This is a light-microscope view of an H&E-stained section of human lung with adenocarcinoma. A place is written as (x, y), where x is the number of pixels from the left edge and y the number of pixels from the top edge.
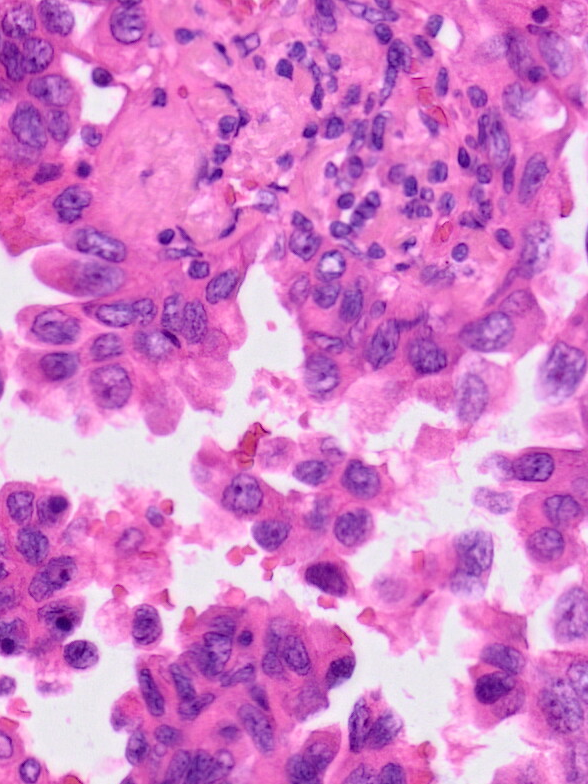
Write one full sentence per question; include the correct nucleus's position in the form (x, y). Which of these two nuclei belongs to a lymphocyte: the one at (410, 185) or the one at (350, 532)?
Of the two nuclei, the nucleus of a lymphocyte is at (410, 185).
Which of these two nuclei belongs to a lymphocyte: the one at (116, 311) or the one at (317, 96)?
Heads up, the nucleus at (317, 96) is the one that belongs to a lymphocyte.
